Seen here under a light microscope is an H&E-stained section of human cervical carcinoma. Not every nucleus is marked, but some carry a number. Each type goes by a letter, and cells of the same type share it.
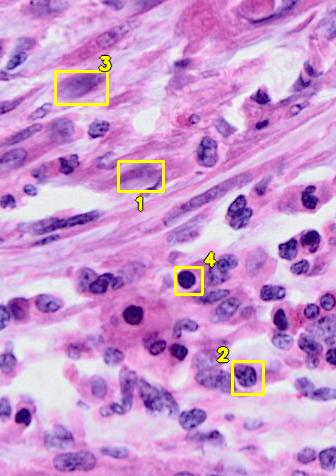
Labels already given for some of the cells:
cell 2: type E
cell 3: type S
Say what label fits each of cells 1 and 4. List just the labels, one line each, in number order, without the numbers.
type S
type E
